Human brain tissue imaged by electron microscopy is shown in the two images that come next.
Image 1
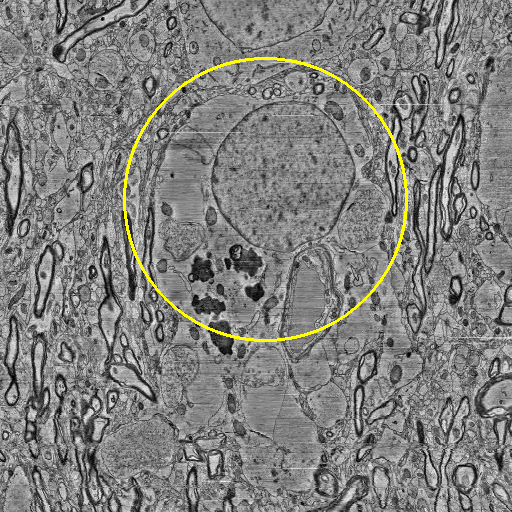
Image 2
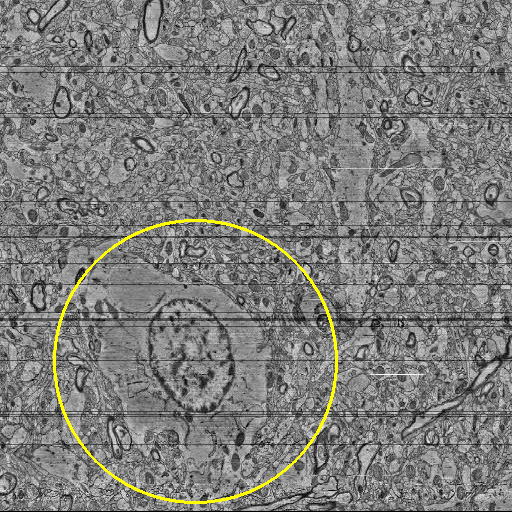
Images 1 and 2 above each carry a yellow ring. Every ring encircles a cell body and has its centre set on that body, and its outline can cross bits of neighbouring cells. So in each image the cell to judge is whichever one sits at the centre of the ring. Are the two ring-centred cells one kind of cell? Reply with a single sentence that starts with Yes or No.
Yes, in Image 1 and Image 2 the cells at the centres of their rings fall into one type.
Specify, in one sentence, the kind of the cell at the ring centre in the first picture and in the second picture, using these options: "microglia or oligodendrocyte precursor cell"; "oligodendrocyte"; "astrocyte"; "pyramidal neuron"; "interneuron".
Each cell, in the first picture and the second, is an astrocyte.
